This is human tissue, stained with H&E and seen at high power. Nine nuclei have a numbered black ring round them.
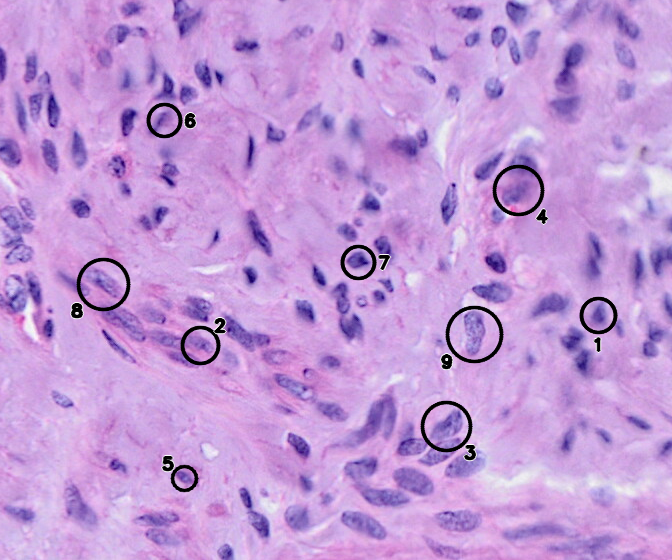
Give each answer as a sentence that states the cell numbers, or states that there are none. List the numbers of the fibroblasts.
Marked by the numbers 1, 3, 6, 7 and 9 are cells that are fibroblasts.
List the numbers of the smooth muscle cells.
Cells 2, 5 and 8 are classified as smooth muscle cells.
